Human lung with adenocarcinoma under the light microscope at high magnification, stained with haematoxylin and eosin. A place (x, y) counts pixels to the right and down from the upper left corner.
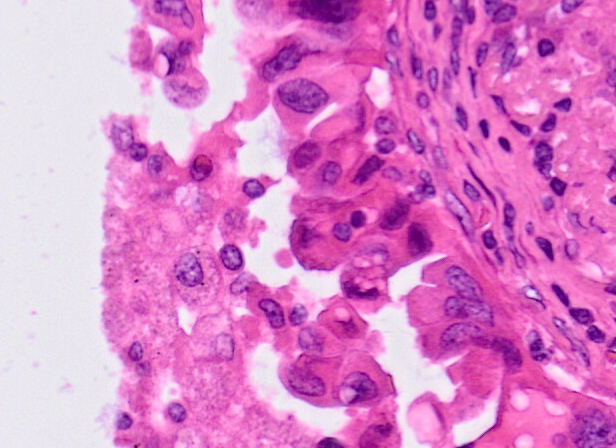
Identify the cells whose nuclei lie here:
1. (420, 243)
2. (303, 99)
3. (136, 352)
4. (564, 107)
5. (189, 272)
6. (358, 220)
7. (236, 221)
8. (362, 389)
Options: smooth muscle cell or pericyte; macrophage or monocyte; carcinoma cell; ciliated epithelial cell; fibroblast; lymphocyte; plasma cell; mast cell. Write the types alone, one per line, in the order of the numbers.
carcinoma cell
carcinoma cell
macrophage or monocyte
lymphocyte
macrophage or monocyte
lymphocyte
macrophage or monocyte
carcinoma cell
